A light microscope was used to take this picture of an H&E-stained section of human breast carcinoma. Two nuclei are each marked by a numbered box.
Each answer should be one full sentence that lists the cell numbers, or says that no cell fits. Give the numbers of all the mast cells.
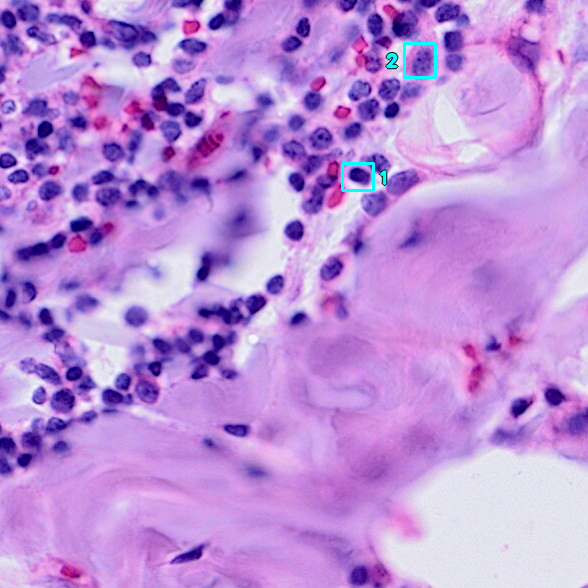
Nothing but cell 2 is a mast cell among the numbered ones.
